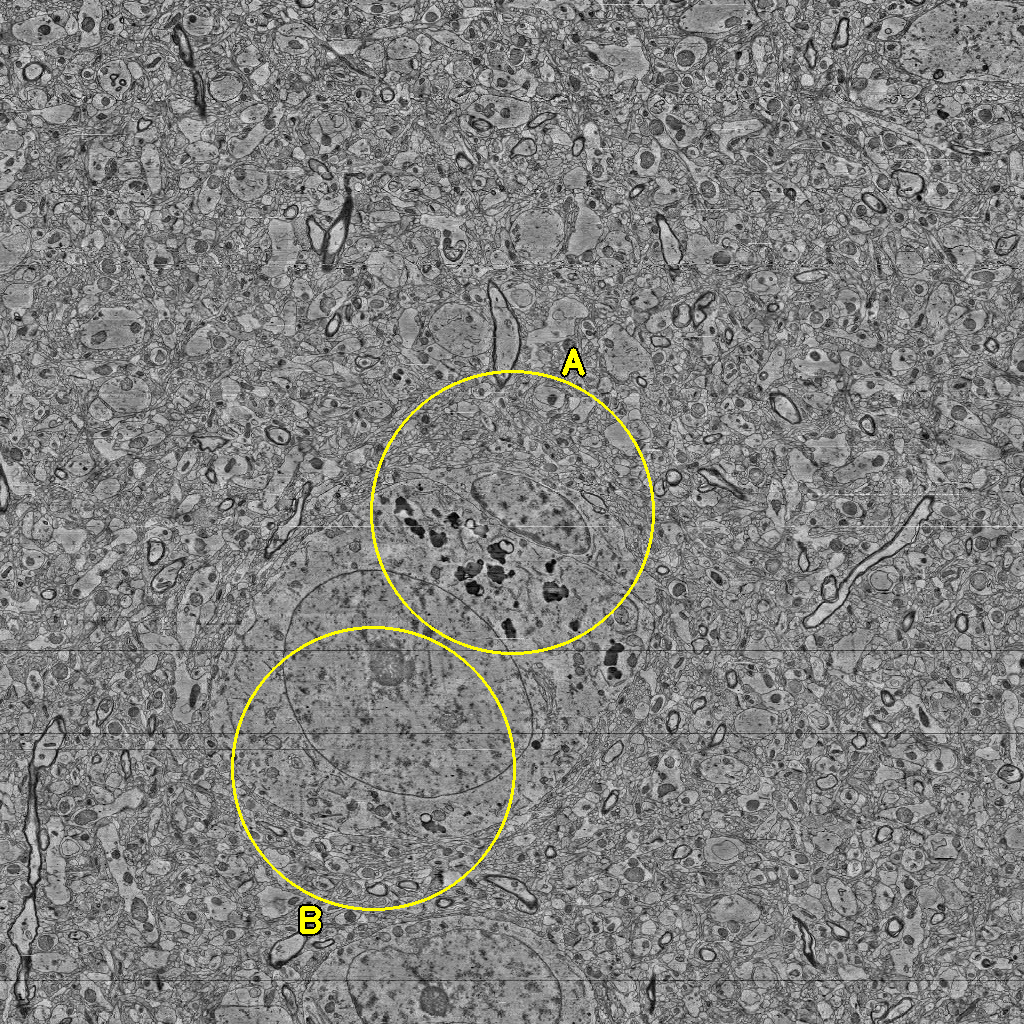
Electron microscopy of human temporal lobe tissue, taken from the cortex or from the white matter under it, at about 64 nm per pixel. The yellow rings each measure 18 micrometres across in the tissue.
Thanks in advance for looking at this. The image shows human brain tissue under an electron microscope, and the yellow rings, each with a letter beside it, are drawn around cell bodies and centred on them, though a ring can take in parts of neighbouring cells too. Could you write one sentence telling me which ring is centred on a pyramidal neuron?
Ring B is centred on it.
